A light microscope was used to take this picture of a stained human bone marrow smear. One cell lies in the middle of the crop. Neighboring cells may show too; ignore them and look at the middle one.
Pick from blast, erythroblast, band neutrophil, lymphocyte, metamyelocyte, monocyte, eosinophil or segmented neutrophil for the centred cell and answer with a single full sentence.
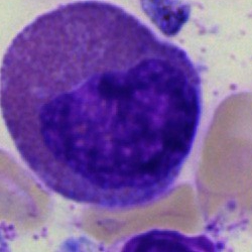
In the central position of this crop, the cell is an eosinophil.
